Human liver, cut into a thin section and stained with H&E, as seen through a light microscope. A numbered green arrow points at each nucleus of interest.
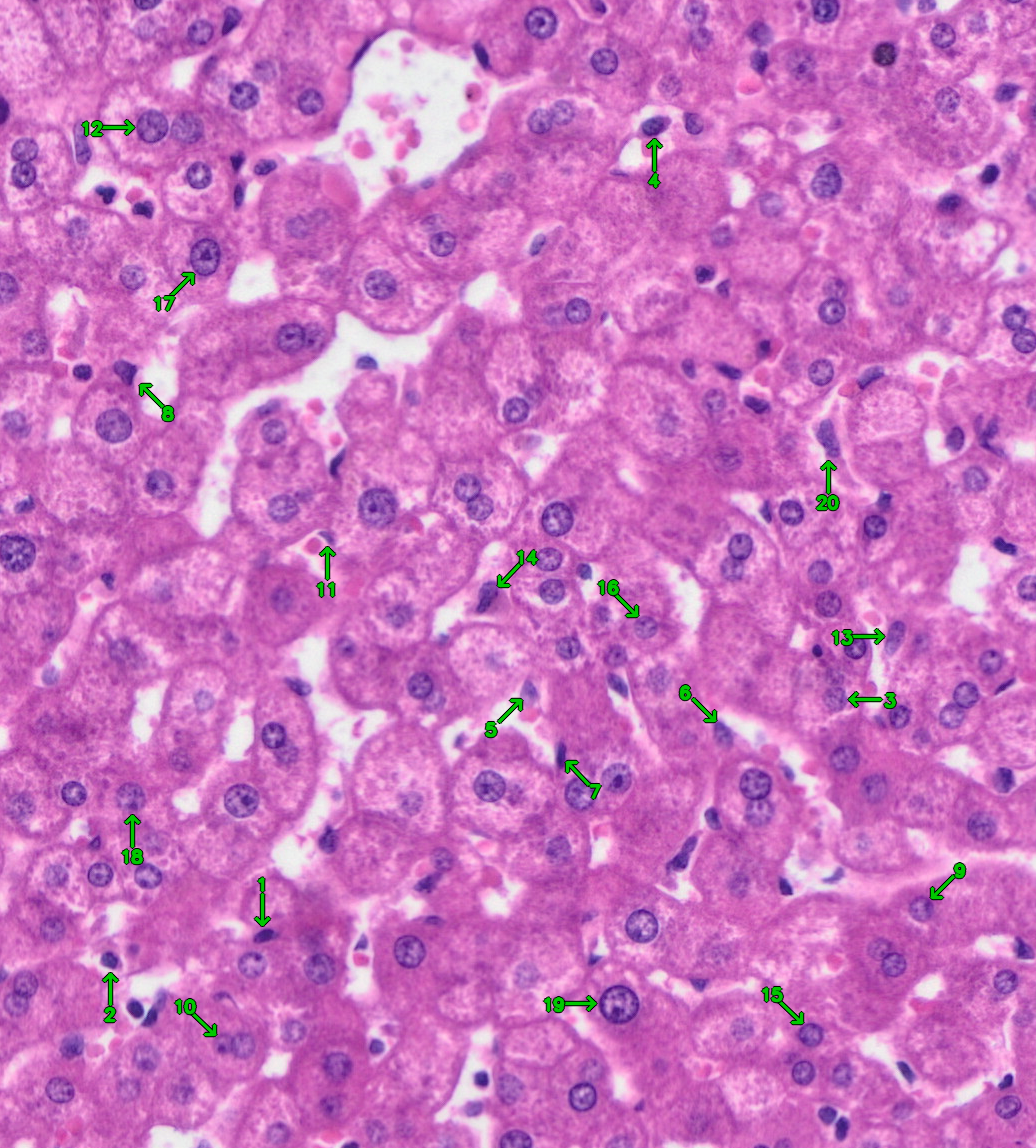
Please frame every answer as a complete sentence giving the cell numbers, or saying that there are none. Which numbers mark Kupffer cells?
The cells picked out by numbers 4, 5, 6, 13, 14 and 20 are Kupffer cells.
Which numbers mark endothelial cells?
The cells labelled 8 and 11 in this section are endothelial cells.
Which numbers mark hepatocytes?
The cells marked 3, 9, 10, 12, 15, 16, 17, 18 and 19 in the section are hepatocytes.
